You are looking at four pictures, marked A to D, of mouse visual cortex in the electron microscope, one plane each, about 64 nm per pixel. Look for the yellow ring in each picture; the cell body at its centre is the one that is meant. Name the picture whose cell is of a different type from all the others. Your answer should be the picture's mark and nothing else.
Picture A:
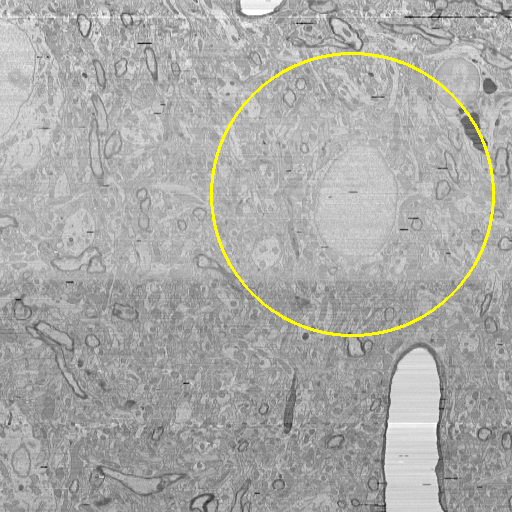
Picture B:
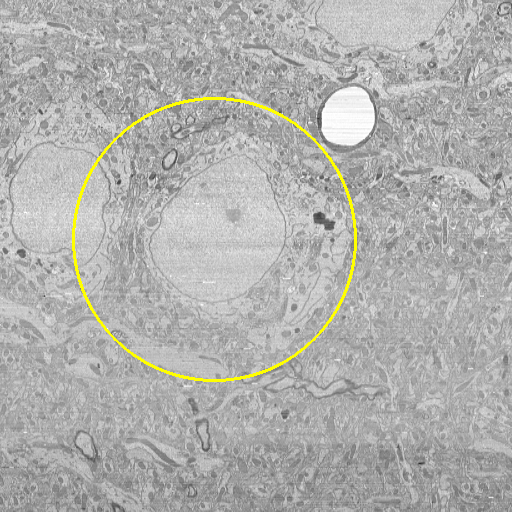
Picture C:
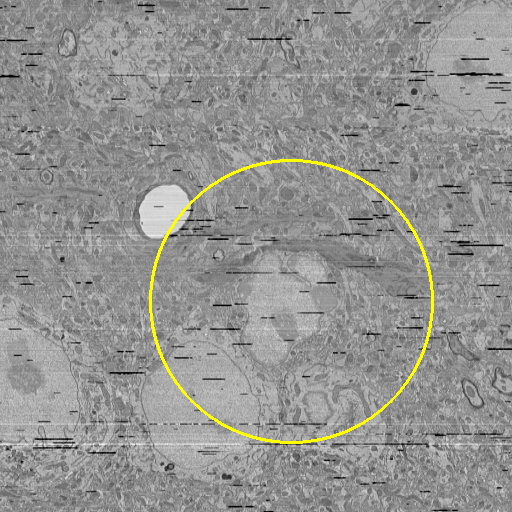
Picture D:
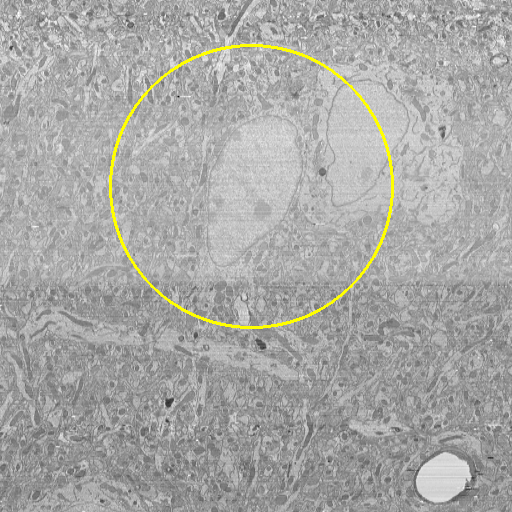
B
